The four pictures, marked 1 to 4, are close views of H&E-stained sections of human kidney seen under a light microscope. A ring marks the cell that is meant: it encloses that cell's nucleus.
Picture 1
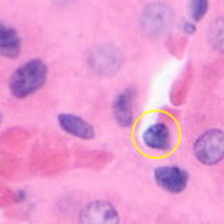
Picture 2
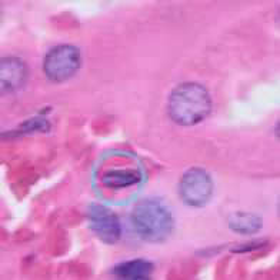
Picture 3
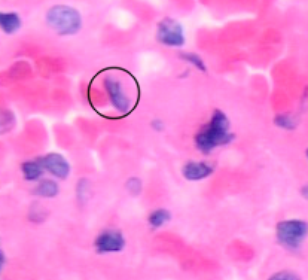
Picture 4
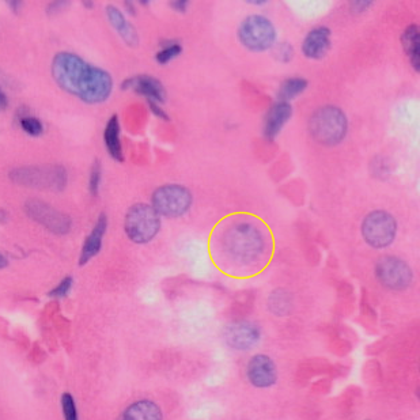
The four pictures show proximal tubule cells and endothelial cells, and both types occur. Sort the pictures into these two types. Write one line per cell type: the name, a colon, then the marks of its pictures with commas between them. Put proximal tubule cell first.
proximal tubule cell: 4
endothelial cell: 1, 2, 3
